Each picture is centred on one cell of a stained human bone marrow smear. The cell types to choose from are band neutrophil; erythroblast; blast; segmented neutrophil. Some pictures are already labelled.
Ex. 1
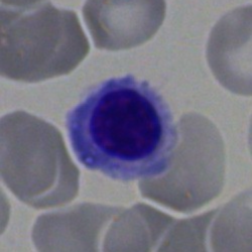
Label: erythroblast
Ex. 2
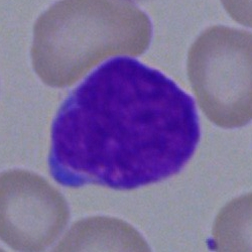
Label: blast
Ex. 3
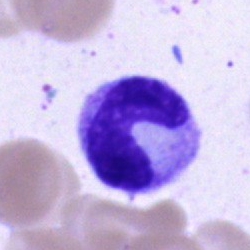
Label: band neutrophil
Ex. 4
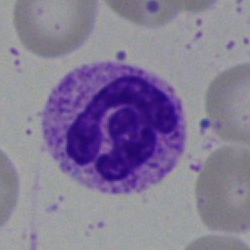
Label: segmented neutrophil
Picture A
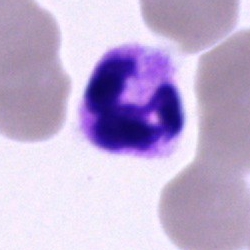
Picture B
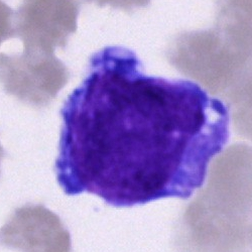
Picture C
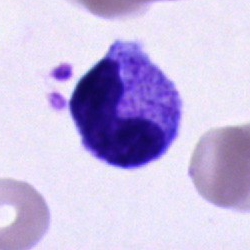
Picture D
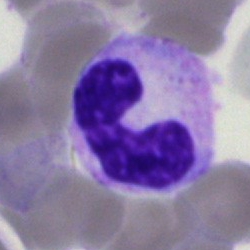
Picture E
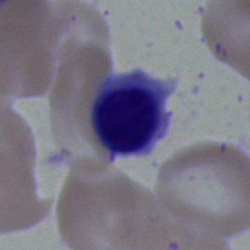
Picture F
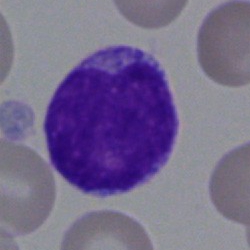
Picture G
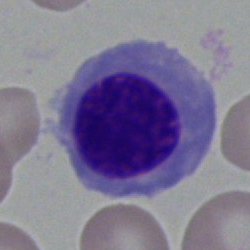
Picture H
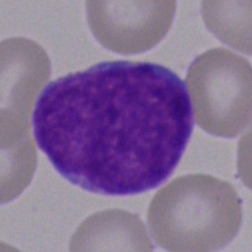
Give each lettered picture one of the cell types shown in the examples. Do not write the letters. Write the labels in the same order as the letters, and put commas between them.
segmented neutrophil, blast, band neutrophil, band neutrophil, erythroblast, blast, erythroblast, blast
